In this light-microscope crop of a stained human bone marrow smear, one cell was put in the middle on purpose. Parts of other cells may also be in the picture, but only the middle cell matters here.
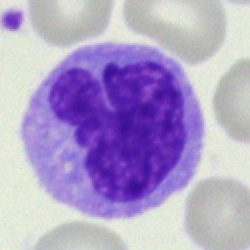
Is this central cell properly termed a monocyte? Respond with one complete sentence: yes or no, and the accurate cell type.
Yes, the cell that the crop is centred on is a monocyte.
